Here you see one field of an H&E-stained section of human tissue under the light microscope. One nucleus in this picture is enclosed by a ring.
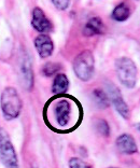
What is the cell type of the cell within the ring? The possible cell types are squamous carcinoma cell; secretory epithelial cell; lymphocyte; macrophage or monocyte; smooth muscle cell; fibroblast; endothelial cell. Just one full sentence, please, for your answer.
In this field of tissue, the cell within the ring is a lymphocyte.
